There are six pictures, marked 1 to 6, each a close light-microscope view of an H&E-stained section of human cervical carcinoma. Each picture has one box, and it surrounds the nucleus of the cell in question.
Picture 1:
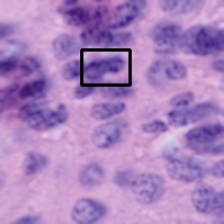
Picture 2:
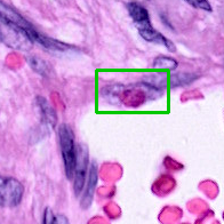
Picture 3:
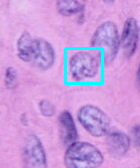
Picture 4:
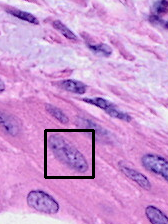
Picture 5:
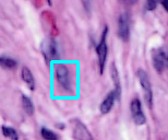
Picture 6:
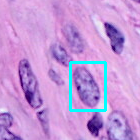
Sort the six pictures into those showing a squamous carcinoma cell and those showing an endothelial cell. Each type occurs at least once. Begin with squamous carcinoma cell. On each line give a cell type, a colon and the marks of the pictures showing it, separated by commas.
squamous carcinoma cell: 1, 3, 4
endothelial cell: 2, 5, 6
